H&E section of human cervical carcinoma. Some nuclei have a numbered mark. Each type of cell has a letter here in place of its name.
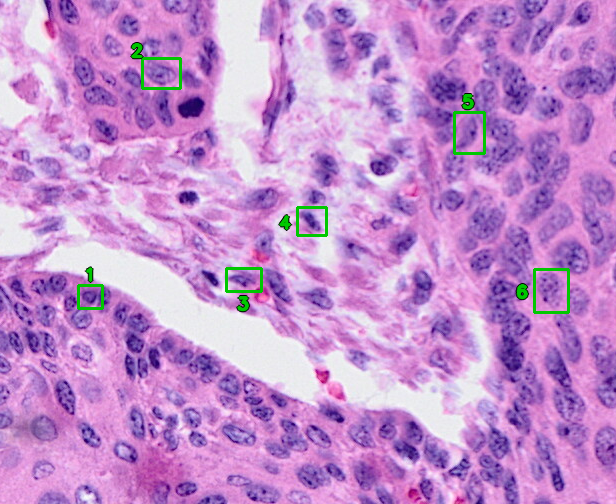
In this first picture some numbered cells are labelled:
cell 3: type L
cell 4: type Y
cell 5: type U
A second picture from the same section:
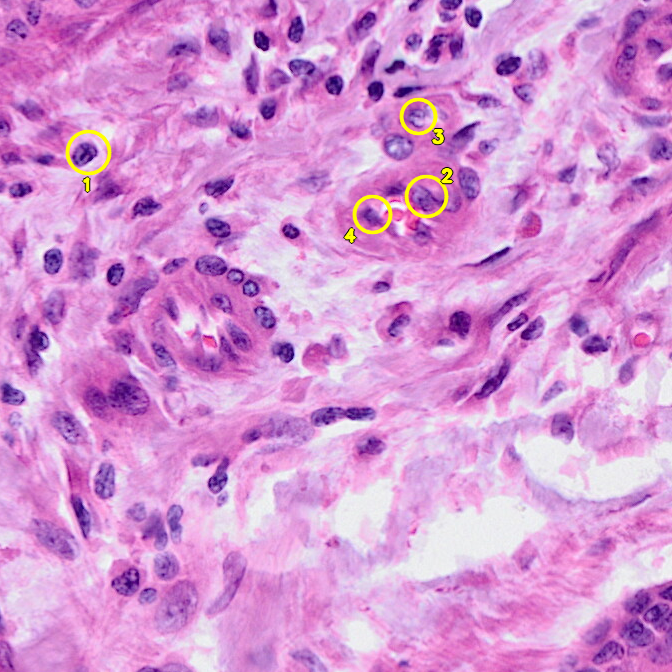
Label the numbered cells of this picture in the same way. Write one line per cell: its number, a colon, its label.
1: type Y
2: type L
3: type L
4: type L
